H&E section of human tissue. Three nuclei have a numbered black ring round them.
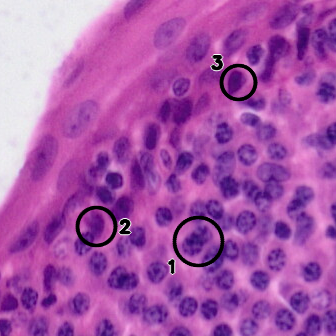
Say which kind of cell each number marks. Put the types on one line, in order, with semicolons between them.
plasma cell; squamous epithelial cell; squamous epithelial cell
